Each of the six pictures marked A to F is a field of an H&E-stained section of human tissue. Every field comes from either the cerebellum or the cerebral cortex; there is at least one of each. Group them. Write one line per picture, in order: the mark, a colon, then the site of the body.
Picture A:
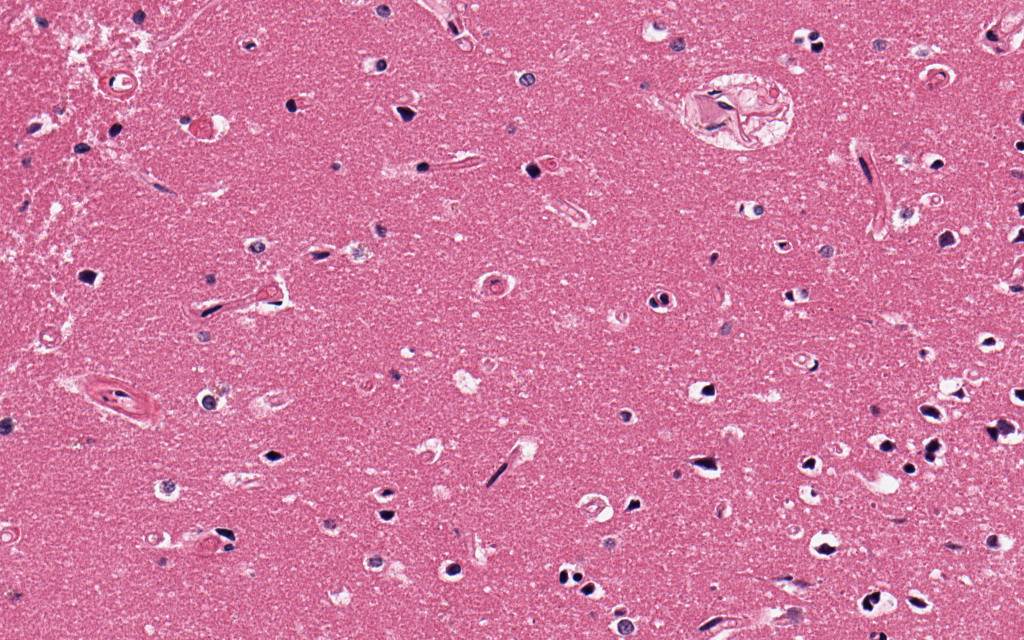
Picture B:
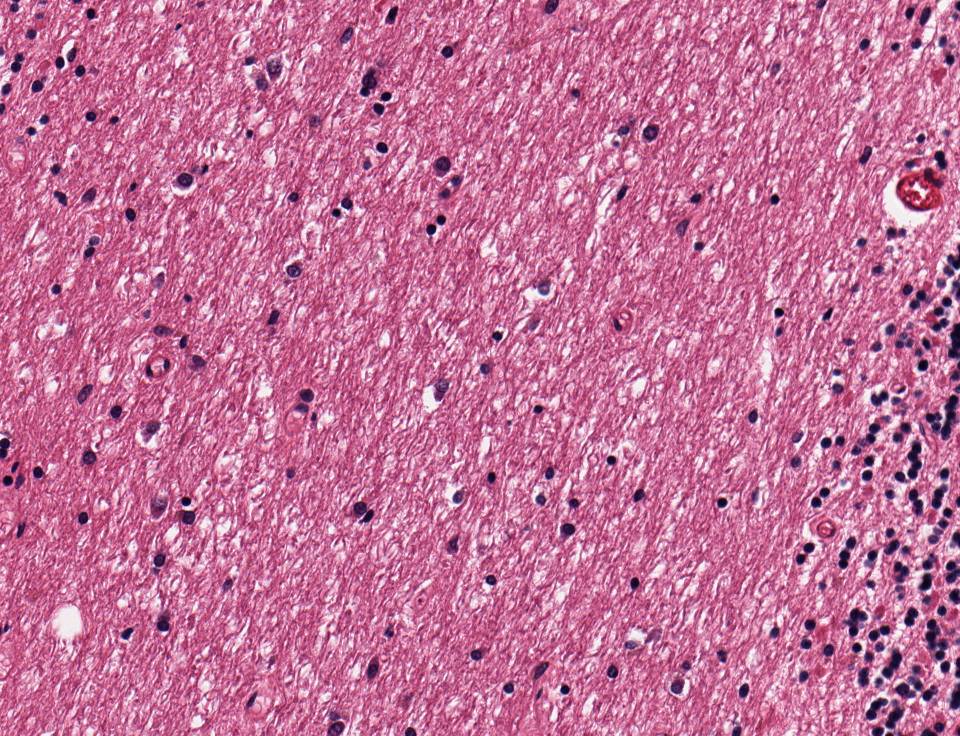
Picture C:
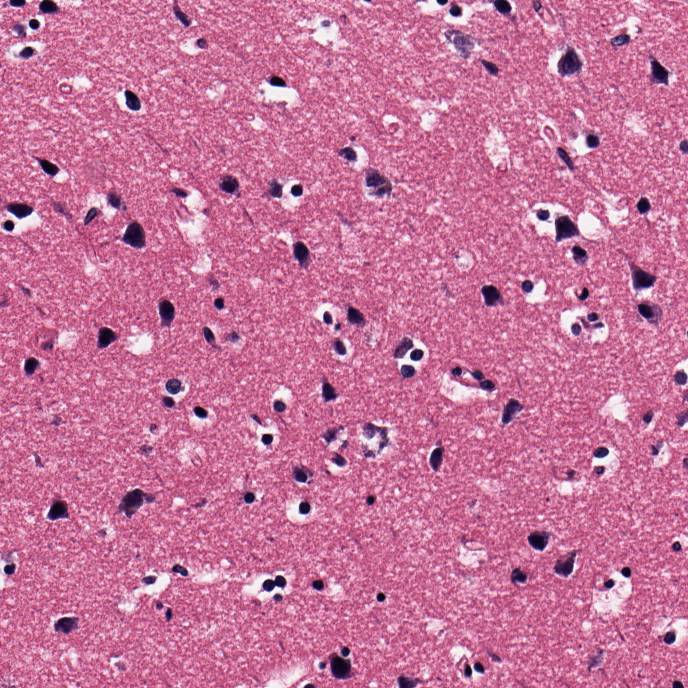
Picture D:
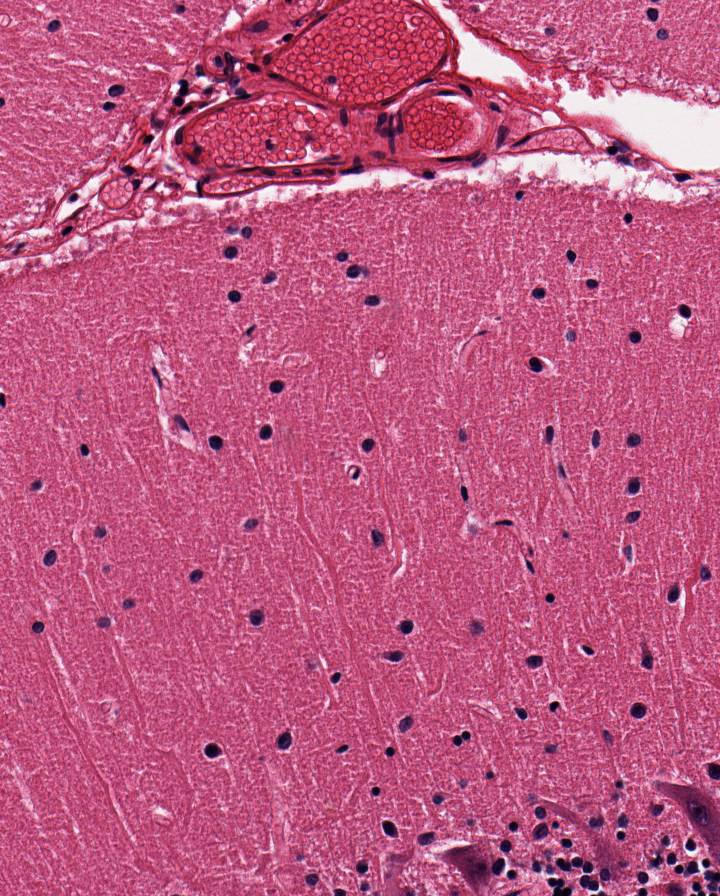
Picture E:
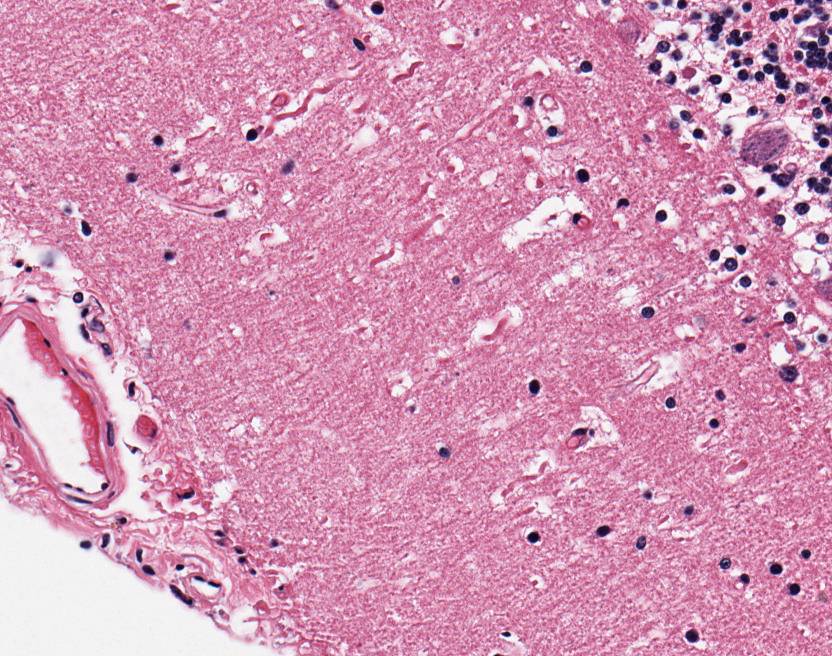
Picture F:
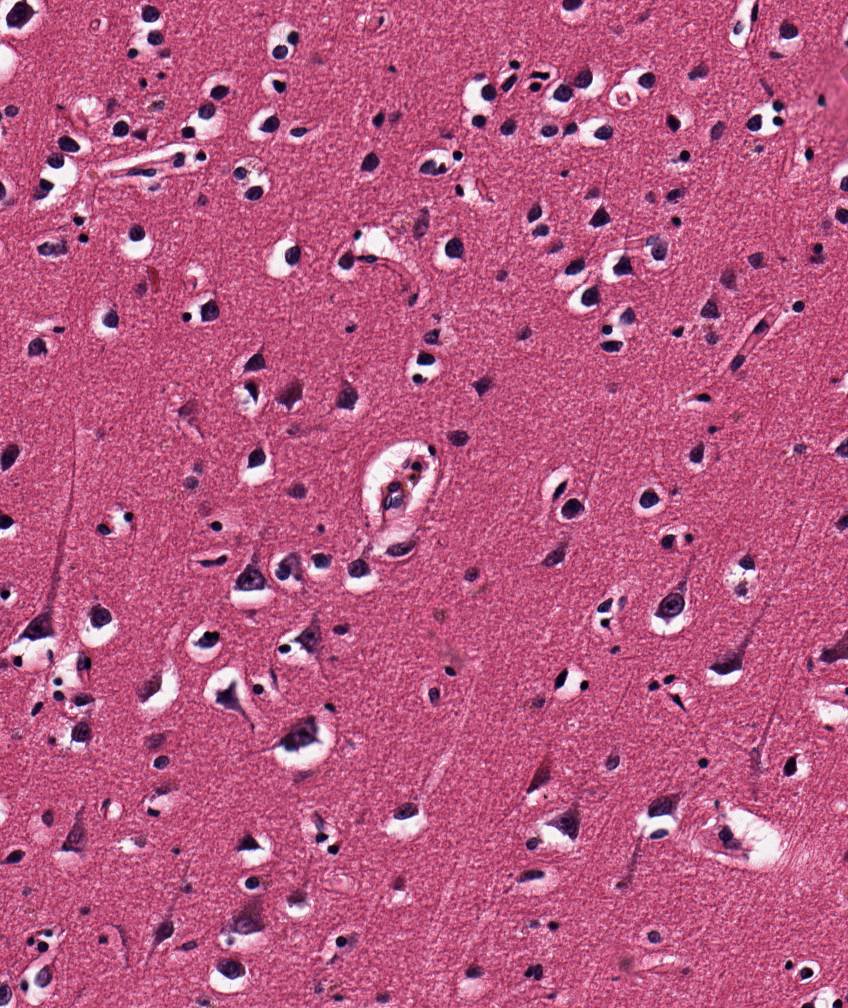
A: cerebral cortex
B: cerebellum
C: cerebral cortex
D: cerebellum
E: cerebellum
F: cerebral cortex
